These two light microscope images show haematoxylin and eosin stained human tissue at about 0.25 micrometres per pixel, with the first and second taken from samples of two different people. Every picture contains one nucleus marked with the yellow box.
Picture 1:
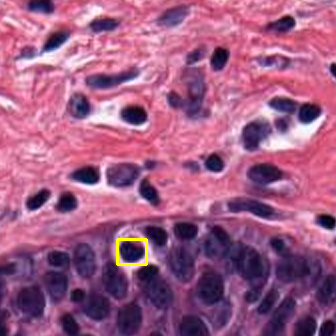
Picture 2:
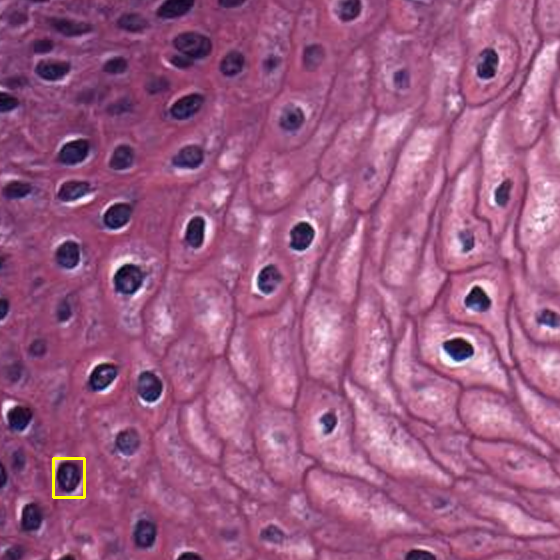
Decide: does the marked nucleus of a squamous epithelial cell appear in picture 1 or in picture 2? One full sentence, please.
The nucleus marked in picture 2 is that of a squamous epithelial cell, unlike the one in the other picture.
